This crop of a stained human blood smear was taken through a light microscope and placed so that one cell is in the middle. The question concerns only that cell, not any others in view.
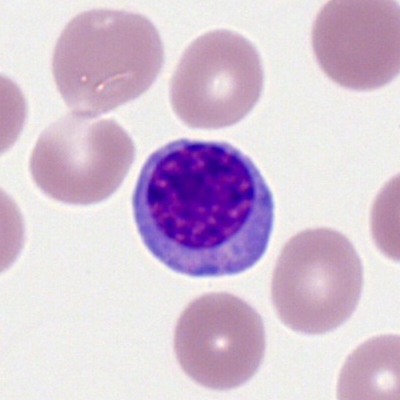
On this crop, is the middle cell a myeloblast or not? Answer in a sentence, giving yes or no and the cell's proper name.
No, it is not a myeloblast that sits at the centre but a lymphocyte.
